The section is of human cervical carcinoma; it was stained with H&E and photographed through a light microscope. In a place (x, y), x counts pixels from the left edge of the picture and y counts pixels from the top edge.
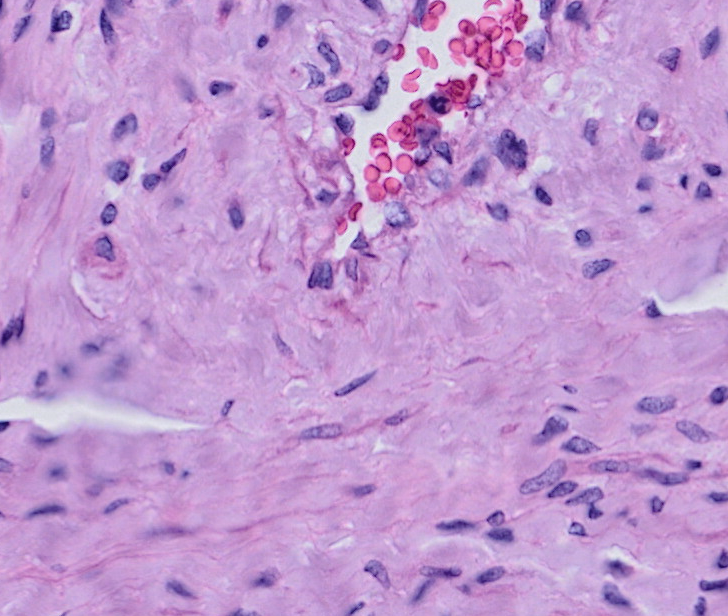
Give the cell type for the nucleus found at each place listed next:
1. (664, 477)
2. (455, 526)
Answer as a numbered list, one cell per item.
1. smooth muscle cell
2. fibroblast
